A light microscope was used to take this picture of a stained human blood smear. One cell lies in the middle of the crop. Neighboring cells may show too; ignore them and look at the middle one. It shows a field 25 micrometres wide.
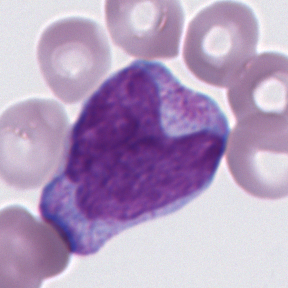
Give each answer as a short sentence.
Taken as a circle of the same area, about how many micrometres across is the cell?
About 15 micrometres: that is the cell's diameter.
